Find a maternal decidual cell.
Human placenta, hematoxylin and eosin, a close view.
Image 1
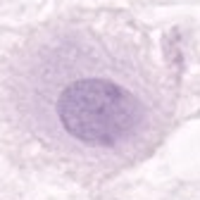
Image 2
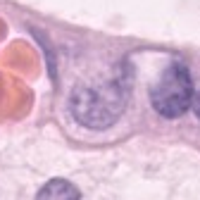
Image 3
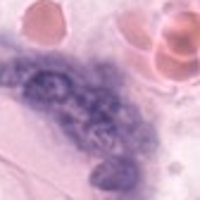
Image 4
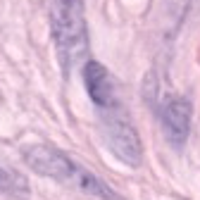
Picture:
1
